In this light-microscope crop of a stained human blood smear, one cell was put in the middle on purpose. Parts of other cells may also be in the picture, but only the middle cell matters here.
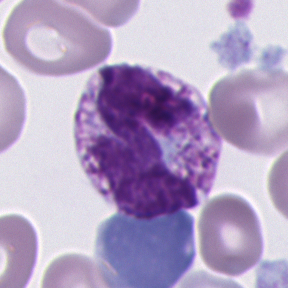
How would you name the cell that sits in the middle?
basophil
